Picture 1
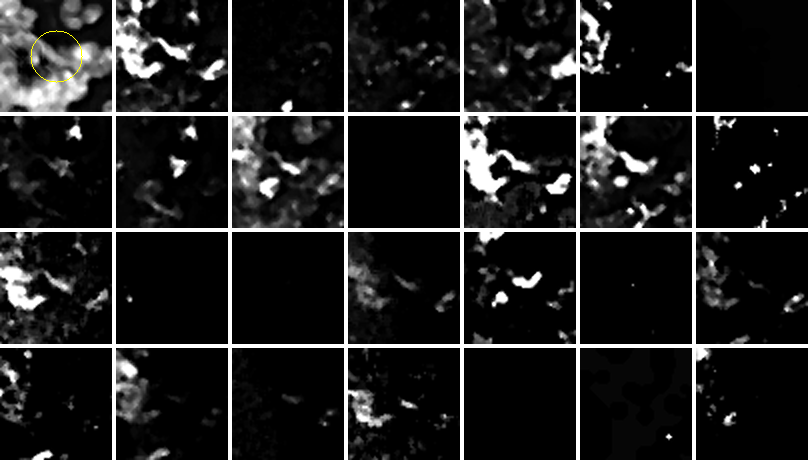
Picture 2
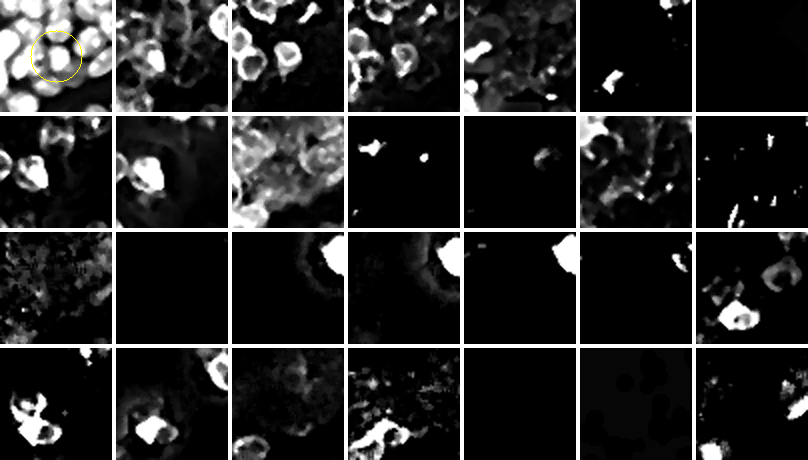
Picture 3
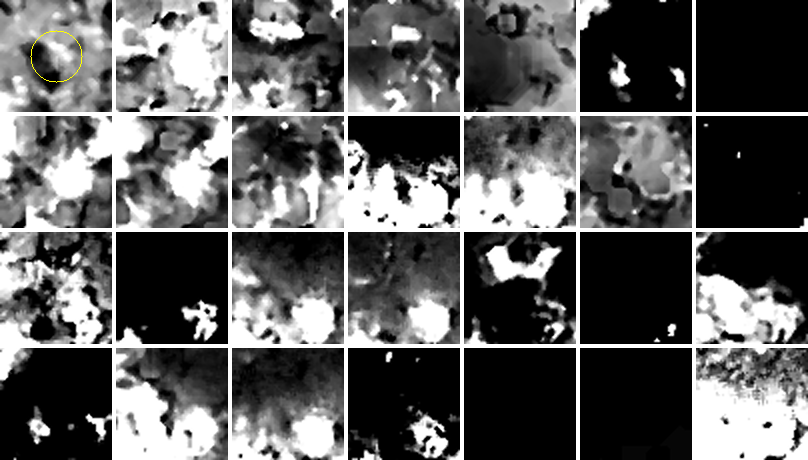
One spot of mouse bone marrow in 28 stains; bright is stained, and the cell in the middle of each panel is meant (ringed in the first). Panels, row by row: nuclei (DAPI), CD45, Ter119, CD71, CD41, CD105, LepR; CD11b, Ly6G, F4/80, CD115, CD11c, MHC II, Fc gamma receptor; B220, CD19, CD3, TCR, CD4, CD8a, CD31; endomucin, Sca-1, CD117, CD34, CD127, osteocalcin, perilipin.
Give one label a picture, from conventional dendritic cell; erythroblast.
Picture 1: conventional dendritic cell
Picture 2: erythroblast
Picture 3: conventional dendritic cell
